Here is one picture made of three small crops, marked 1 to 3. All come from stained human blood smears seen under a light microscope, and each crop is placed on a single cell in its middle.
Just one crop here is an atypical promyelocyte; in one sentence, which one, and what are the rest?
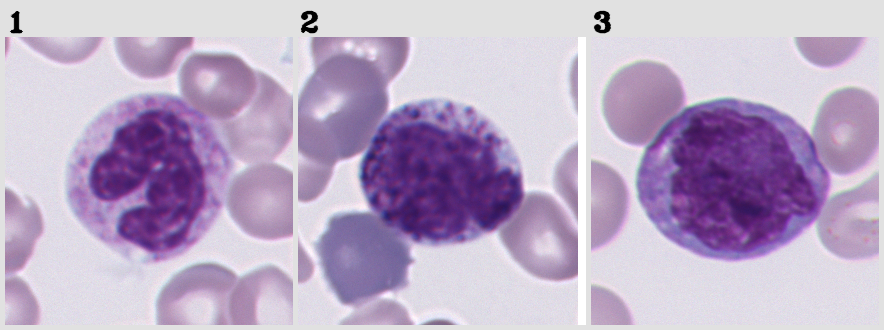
Here crop 3 shows an atypical promyelocyte, while crop 1 is a neutrophil and crop 2 is a basophil.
